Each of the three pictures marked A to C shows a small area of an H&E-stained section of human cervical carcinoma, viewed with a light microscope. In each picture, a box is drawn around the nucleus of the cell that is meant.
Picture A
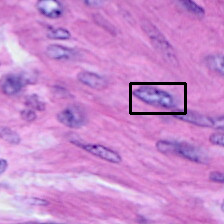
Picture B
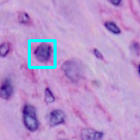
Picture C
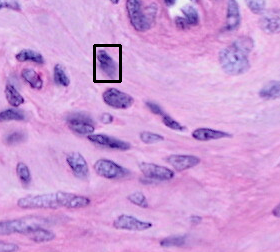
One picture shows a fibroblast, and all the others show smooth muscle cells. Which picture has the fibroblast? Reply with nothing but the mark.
C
